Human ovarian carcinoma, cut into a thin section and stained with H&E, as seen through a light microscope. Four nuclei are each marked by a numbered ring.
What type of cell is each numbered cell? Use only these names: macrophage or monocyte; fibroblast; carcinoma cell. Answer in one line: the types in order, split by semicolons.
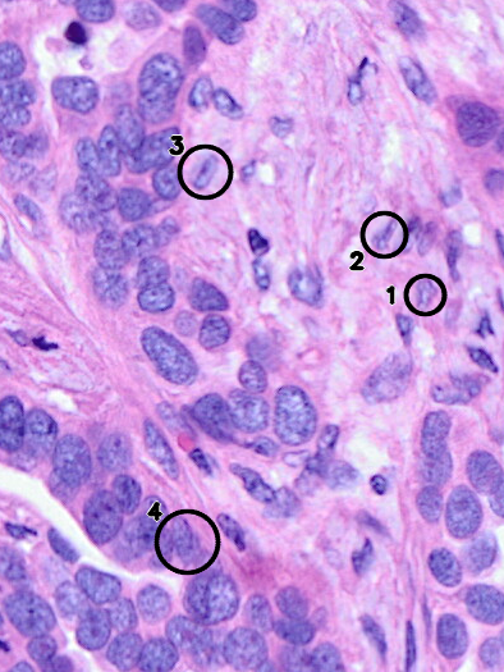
fibroblast; fibroblast; fibroblast; carcinoma cell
